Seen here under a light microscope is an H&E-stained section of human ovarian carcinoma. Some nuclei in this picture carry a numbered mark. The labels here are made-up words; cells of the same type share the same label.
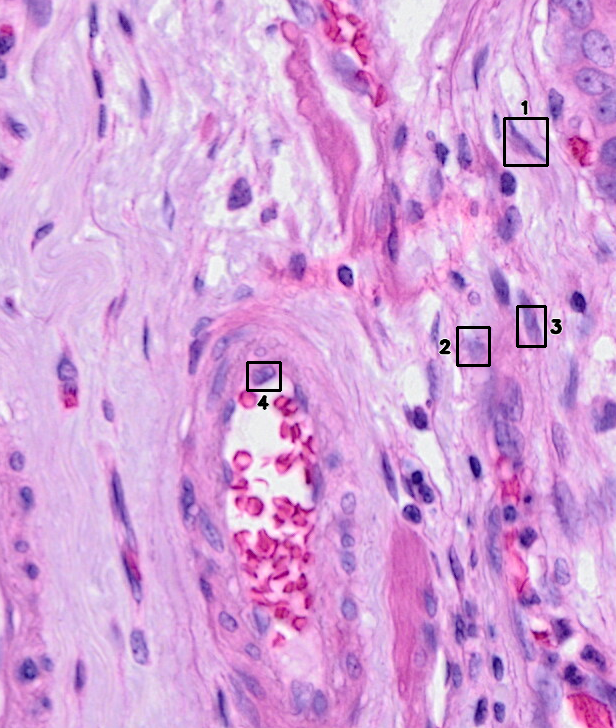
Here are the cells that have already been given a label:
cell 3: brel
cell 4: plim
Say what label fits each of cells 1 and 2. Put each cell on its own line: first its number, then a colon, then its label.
1: brel
2: brel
